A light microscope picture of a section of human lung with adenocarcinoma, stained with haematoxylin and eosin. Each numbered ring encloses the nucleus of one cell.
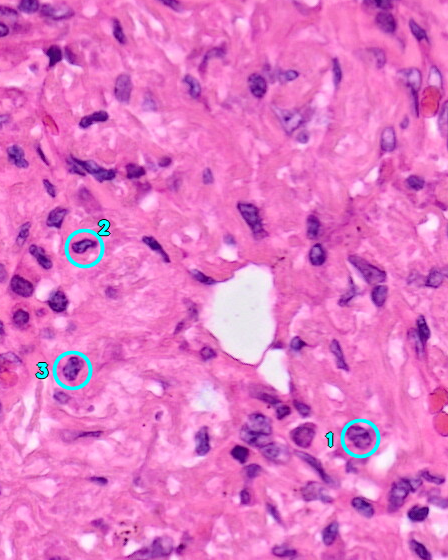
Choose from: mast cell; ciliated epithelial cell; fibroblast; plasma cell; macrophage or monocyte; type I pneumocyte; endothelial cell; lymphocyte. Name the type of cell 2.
mast cell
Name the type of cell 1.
plasma cell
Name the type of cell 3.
mast cell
